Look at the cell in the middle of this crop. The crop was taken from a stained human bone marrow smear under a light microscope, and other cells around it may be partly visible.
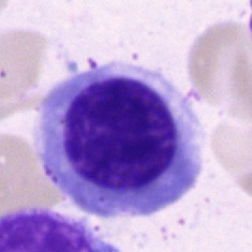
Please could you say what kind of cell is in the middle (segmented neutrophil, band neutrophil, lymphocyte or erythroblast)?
erythroblast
